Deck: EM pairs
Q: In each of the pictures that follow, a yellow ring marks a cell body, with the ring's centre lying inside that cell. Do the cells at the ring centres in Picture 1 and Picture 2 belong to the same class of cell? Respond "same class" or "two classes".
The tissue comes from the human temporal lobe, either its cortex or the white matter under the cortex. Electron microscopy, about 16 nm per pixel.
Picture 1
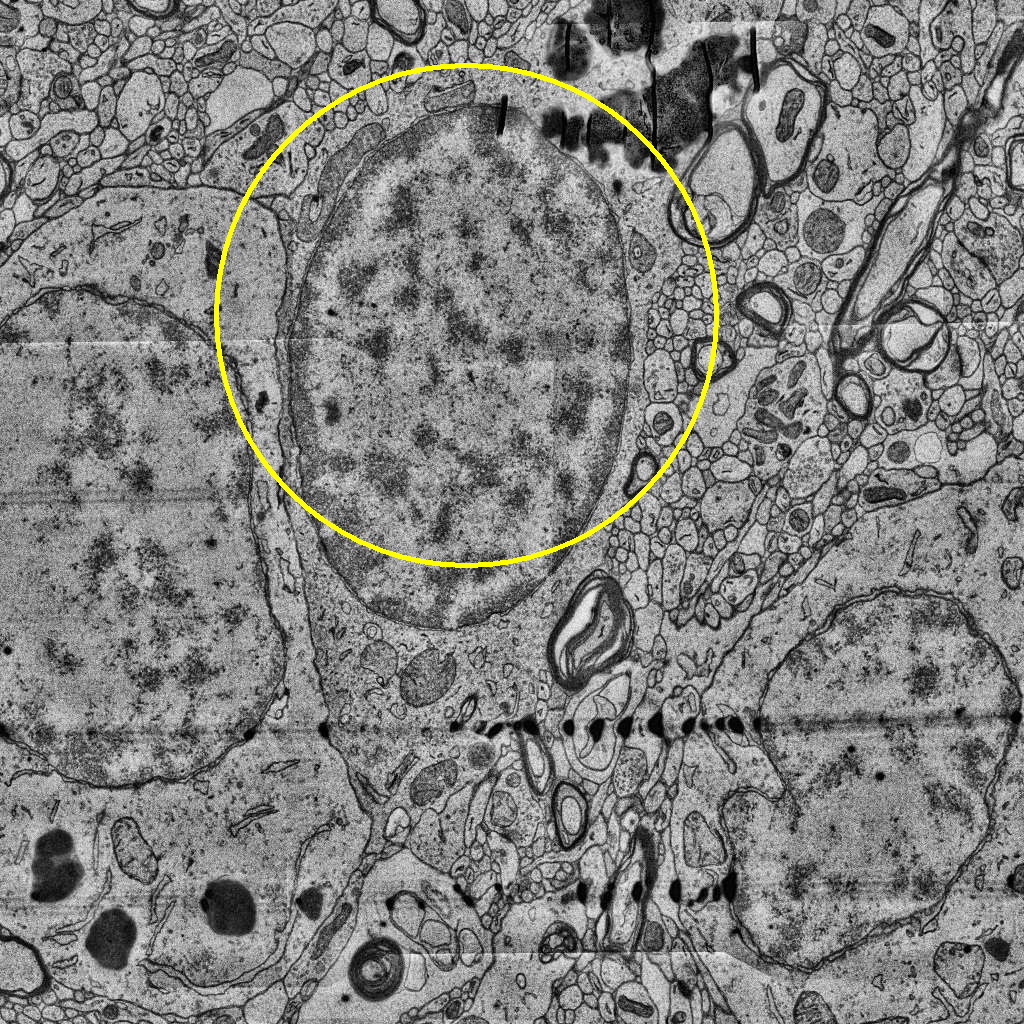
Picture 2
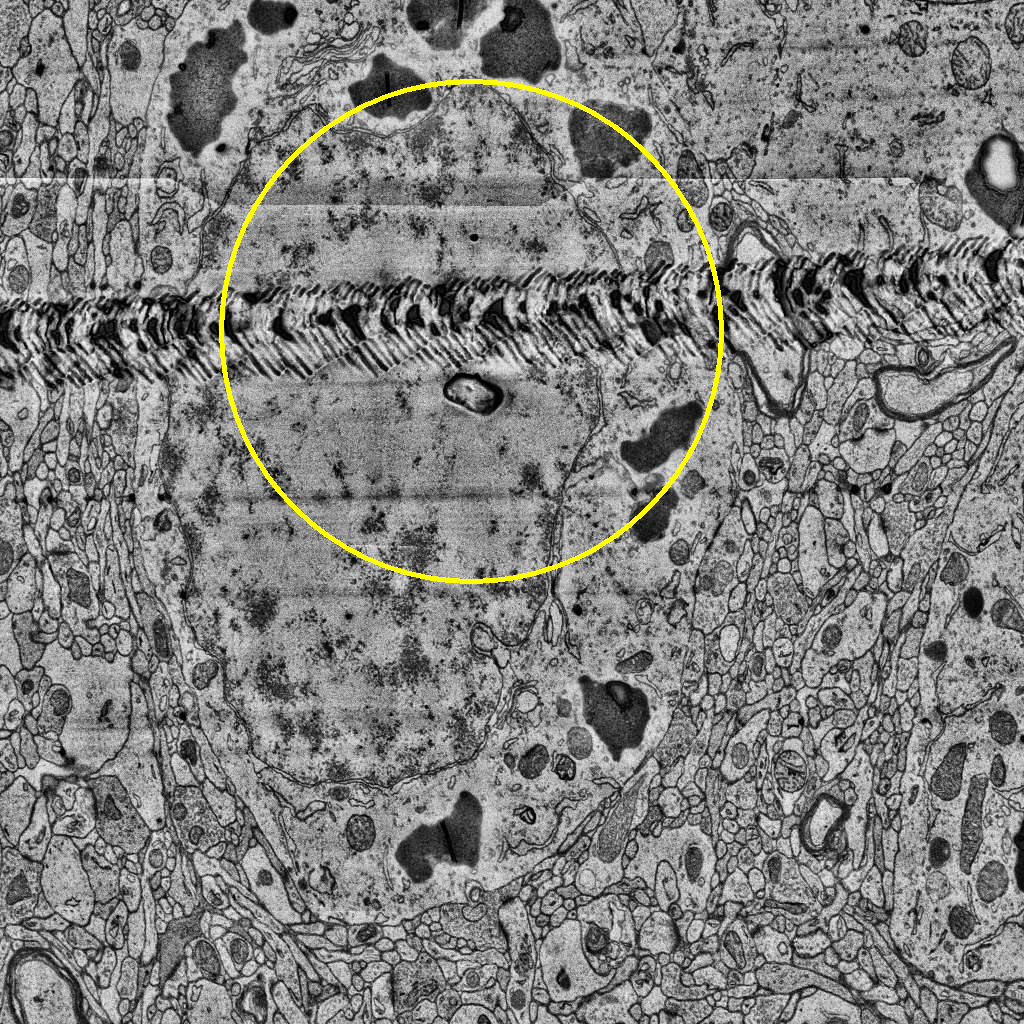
two classes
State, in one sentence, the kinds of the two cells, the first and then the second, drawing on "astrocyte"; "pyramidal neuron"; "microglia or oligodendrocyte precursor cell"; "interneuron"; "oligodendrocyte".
The first ring encloses an oligodendrocyte; the second ring encloses an interneuron.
